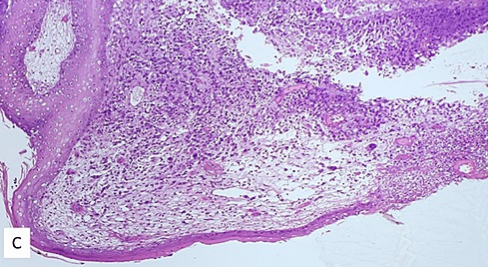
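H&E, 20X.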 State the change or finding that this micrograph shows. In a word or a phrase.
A: skin ulceration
